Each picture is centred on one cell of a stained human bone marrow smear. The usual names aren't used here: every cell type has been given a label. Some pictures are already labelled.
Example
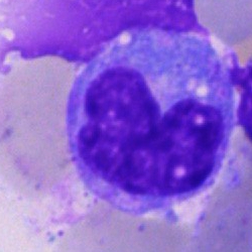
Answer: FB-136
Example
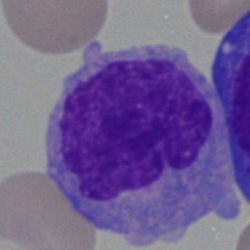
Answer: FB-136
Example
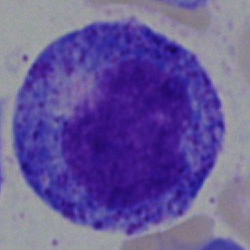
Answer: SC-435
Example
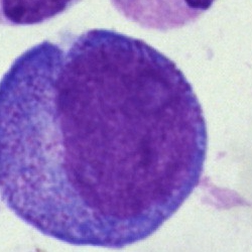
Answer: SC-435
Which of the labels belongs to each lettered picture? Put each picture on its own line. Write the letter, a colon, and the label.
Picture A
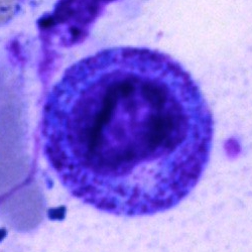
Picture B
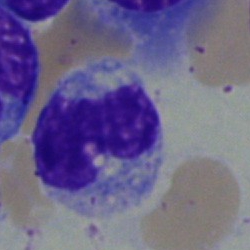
A: SC-435
B: FB-136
